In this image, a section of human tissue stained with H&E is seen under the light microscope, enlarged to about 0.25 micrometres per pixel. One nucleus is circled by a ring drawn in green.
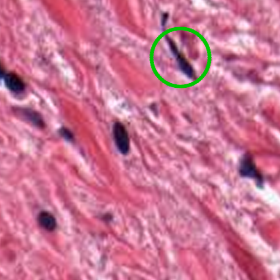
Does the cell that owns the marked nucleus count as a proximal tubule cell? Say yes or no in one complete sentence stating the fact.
No, the marked nucleus is part of a supporting cell and does not belong to a proximal tubule cell.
